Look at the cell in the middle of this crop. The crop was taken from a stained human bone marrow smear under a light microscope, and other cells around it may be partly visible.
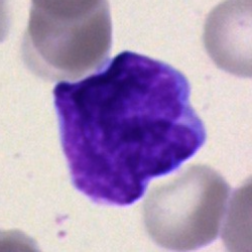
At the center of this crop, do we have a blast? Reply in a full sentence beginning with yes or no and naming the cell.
Yes, it is a blast that lies in the middle.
